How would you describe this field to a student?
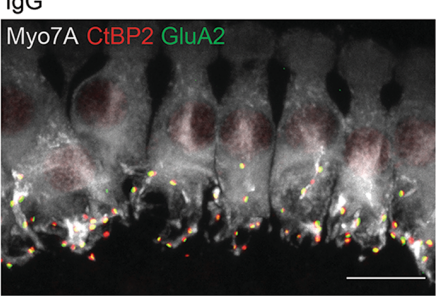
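The cells stand shoulder to shoulder in a single line, each flask-shaped, with a rounded nucleus appearing as a faint reddish oval in the upper part of the cell. Toward the bottom the cells narrow, and there small bright puncta gather: red dots, many merging with green to appear yellow.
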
